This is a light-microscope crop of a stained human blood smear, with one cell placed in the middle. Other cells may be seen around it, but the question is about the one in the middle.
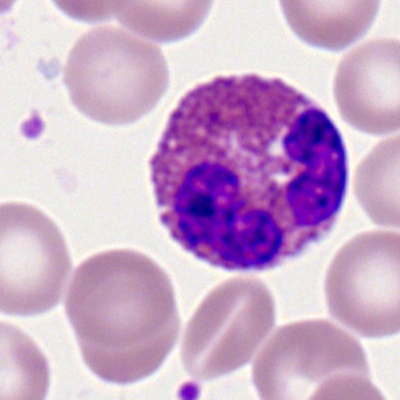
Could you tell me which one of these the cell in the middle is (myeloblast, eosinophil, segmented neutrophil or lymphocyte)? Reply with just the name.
eosinophil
